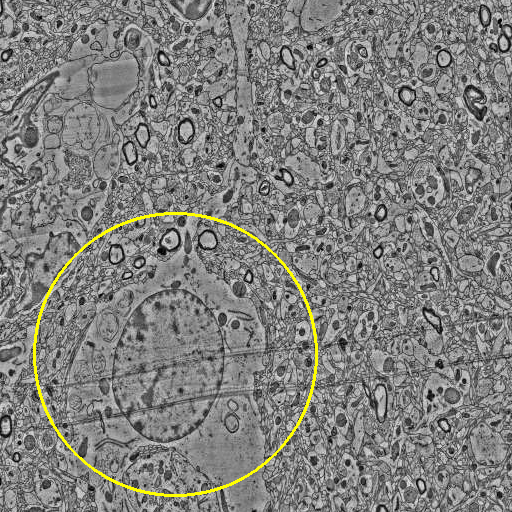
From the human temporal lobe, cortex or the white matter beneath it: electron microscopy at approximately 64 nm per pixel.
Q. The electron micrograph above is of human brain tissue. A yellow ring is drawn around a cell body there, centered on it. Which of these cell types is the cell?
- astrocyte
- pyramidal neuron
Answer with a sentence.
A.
The cell under the ring's center is an astrocyte.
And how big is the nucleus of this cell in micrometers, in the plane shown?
The nucleus of the ringed cell is approximately 10 by 7 micrometres in this plane.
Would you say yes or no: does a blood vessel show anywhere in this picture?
Yes, there is one.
